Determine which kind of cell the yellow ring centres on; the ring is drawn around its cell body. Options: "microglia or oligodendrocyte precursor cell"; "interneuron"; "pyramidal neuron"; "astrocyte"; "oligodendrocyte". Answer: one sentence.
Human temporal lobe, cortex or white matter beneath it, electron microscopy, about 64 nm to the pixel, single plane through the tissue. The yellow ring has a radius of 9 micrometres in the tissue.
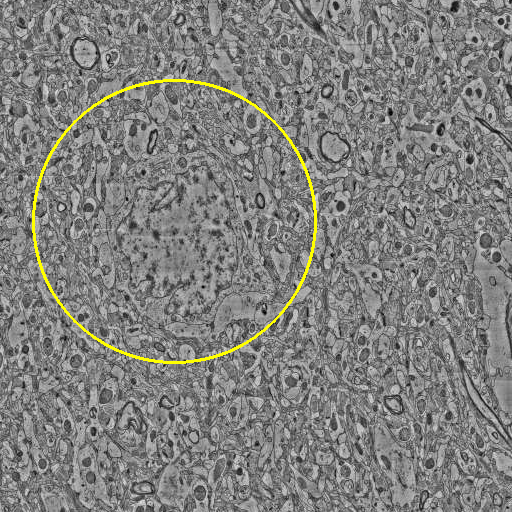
The ring centres on an interneuron.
